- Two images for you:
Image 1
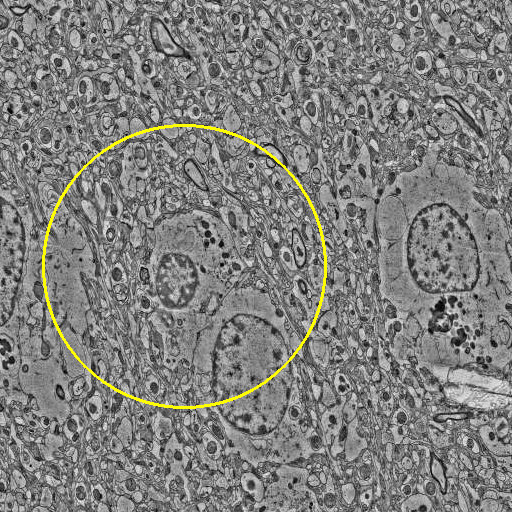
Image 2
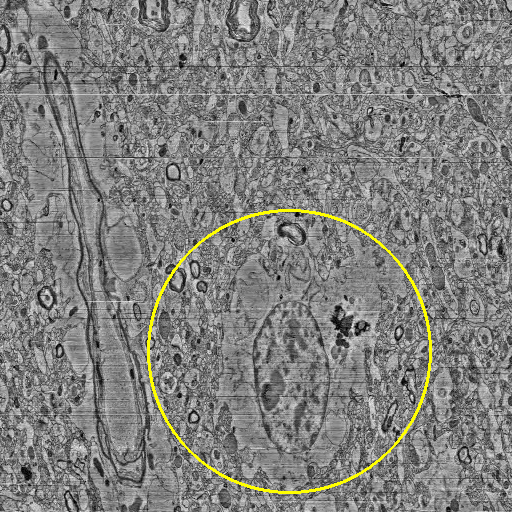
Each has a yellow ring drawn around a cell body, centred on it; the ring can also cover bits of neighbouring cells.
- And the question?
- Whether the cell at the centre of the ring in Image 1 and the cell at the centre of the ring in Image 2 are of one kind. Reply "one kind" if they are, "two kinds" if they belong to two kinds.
one kind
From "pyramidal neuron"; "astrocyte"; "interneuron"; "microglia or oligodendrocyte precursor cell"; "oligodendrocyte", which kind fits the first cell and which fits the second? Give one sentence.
The ring centre holds an astrocyte in each of the two pictures.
